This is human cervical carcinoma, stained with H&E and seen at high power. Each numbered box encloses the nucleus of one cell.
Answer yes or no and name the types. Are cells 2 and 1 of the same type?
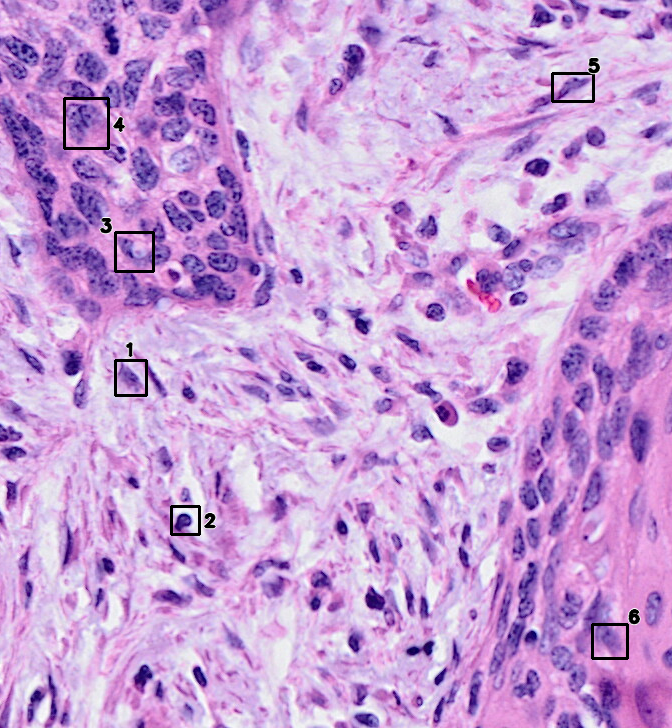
No; cell 2 is a lymphocyte, whereas cell 1 is a fibroblast.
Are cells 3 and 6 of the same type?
Yes, cell 3 and cell 6 are both squamous carcinoma cells.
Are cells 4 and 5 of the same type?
No, listen: cell 4 is a squamous carcinoma cell and cell 5 is a fibroblast.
